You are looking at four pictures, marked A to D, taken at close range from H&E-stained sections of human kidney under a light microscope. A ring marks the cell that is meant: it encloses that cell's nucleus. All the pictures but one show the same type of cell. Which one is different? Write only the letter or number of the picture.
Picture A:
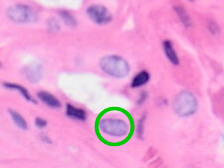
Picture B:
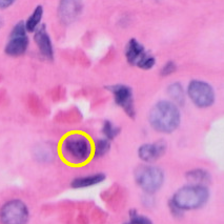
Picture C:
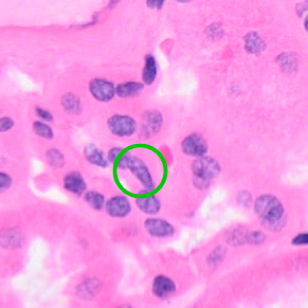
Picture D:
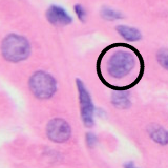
B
